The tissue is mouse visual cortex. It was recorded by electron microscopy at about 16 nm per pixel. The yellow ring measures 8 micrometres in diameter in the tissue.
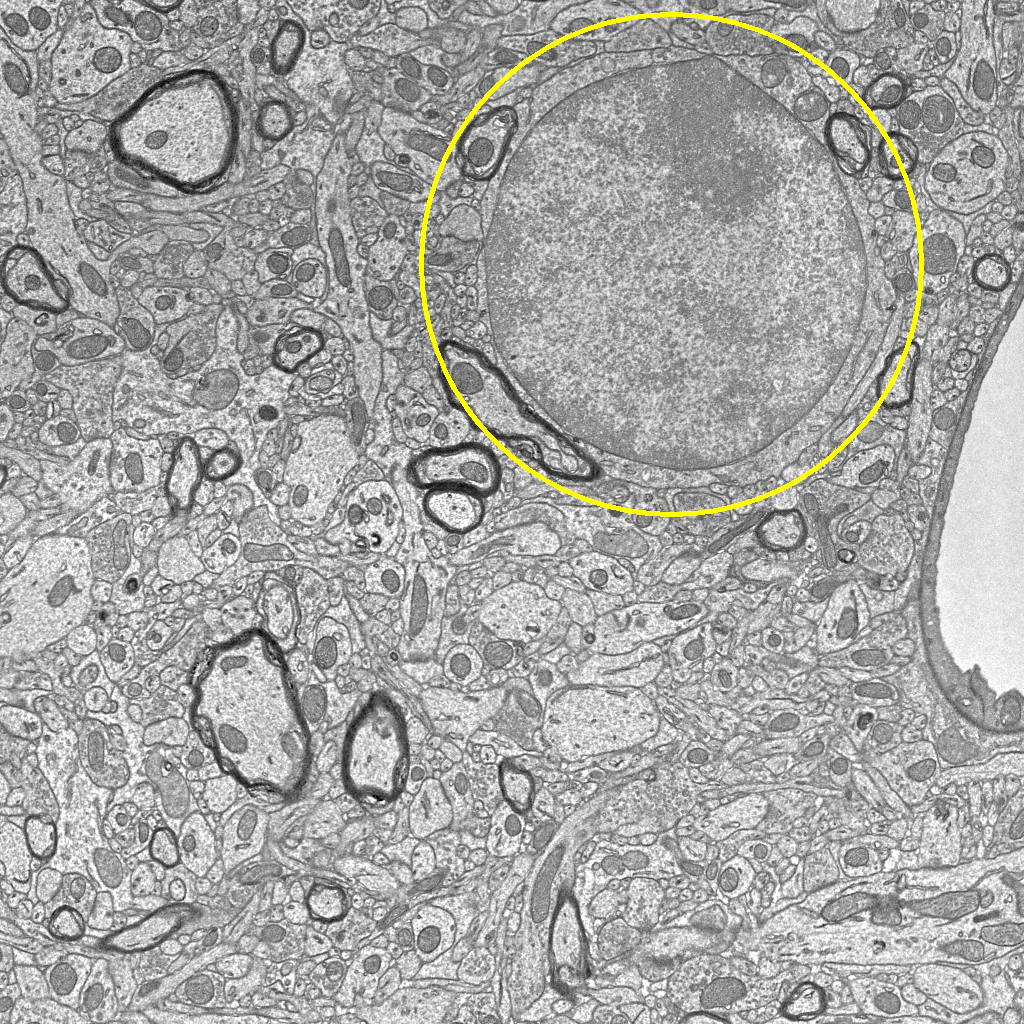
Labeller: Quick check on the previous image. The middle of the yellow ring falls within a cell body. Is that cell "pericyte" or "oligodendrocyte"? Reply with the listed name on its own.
oligodendrocyte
